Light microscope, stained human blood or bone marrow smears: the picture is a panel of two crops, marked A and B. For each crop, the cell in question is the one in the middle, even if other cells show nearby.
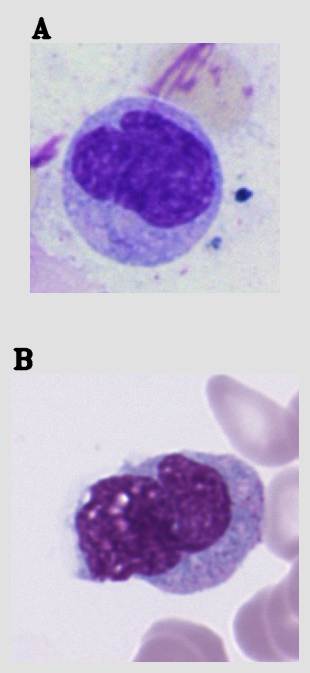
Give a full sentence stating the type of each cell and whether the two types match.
Yes, both crops show a cell each, and these are monocytes.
